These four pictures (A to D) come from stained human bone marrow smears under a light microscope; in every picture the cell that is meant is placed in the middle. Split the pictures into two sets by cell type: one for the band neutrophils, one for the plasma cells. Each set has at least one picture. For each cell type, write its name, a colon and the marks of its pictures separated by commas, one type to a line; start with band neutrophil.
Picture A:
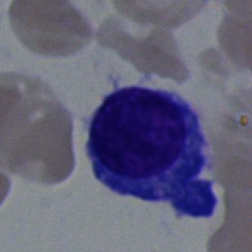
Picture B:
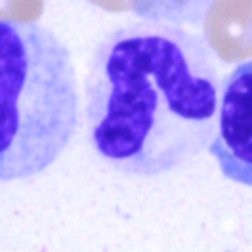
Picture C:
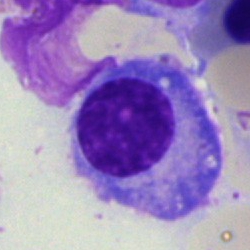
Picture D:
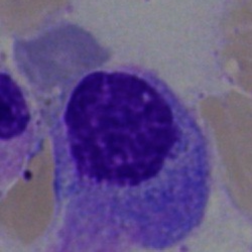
band neutrophil: B
plasma cell: A, C, D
